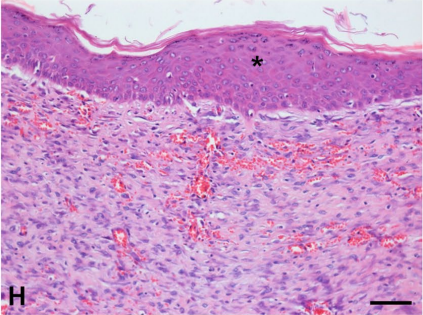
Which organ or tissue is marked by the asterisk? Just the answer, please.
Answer: Epithelial tissue.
